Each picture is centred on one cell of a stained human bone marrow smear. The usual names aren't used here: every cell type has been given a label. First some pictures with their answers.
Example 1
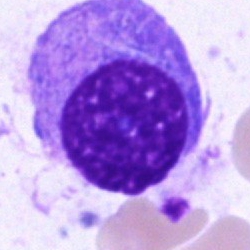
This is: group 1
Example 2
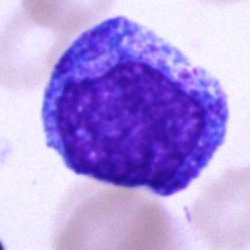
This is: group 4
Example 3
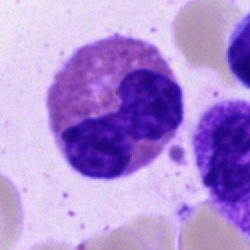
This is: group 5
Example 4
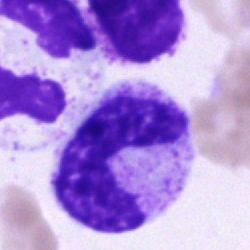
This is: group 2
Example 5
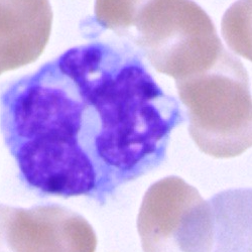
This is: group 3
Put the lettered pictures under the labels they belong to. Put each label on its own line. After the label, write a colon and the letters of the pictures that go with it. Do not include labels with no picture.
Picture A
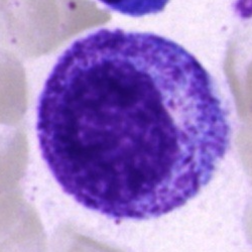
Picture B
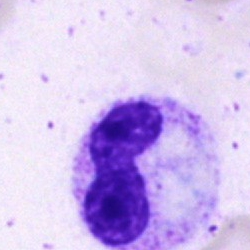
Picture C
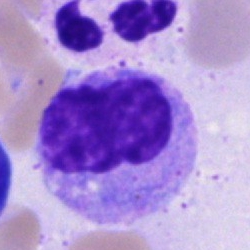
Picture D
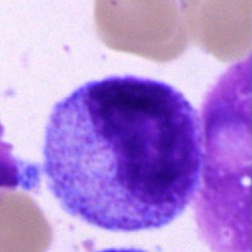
group 4: A, D
group 2: B
group 3: C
